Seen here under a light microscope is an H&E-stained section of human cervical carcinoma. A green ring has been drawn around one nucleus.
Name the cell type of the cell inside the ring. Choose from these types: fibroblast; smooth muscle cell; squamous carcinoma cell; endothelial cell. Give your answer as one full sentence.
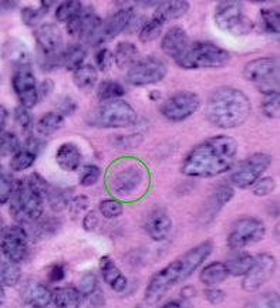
In this section of tissue, the cell inside the ring is a squamous carcinoma cell.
